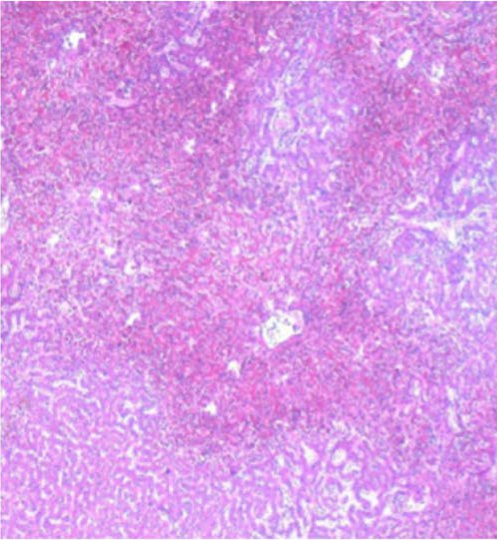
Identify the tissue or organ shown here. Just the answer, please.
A: Liver parenchyma.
